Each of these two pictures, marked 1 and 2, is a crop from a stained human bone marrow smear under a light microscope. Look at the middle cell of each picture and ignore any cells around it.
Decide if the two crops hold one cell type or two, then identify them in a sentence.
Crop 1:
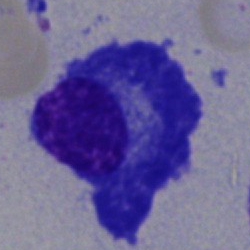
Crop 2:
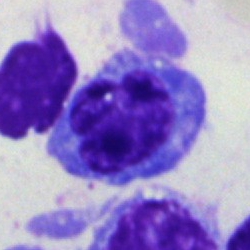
Yes, in the middle of both crops lie plasma cells.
